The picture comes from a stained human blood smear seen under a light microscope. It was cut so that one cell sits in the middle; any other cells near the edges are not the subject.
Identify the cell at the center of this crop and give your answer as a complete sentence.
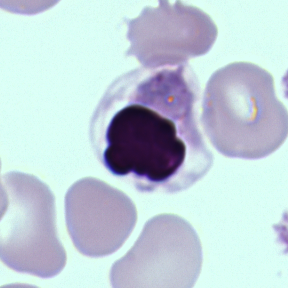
Answering briefly, the cell in the middle is a normoblast.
